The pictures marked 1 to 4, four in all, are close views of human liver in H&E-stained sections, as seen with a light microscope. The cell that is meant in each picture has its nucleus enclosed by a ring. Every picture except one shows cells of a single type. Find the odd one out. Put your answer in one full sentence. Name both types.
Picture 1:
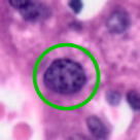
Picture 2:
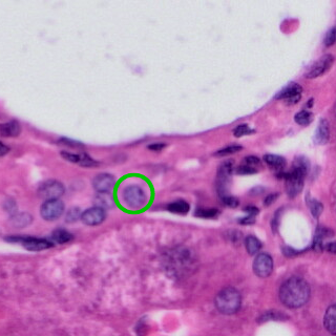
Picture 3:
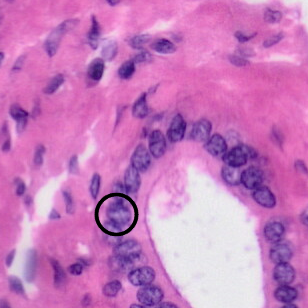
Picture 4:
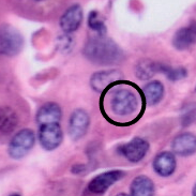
All pictures except 1 show cholangiocytes; picture 1 shows a hepatocyte.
